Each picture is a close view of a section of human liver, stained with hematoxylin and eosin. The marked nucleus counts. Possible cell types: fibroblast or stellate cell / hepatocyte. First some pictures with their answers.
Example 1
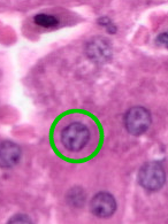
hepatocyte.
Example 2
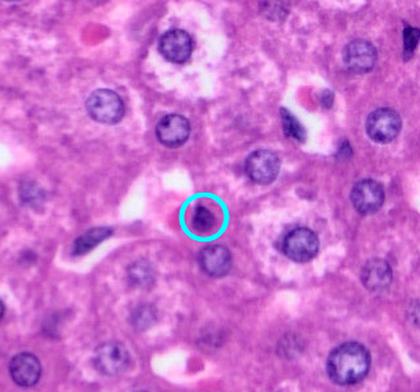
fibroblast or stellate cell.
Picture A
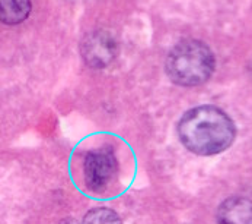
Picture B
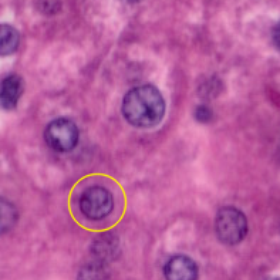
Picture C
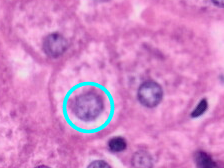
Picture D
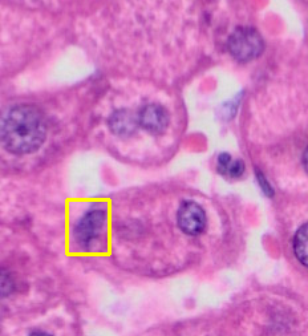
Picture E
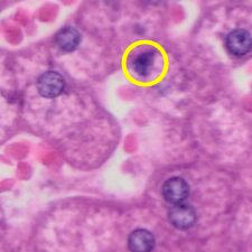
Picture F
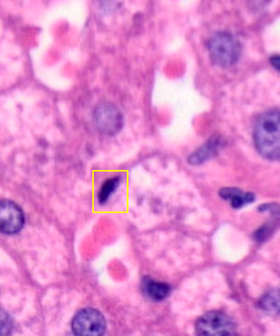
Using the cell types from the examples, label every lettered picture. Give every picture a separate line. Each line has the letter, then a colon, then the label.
A: fibroblast or stellate cell.
B: hepatocyte.
C: hepatocyte.
D: fibroblast or stellate cell.
E: fibroblast or stellate cell.
F: fibroblast or stellate cell.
